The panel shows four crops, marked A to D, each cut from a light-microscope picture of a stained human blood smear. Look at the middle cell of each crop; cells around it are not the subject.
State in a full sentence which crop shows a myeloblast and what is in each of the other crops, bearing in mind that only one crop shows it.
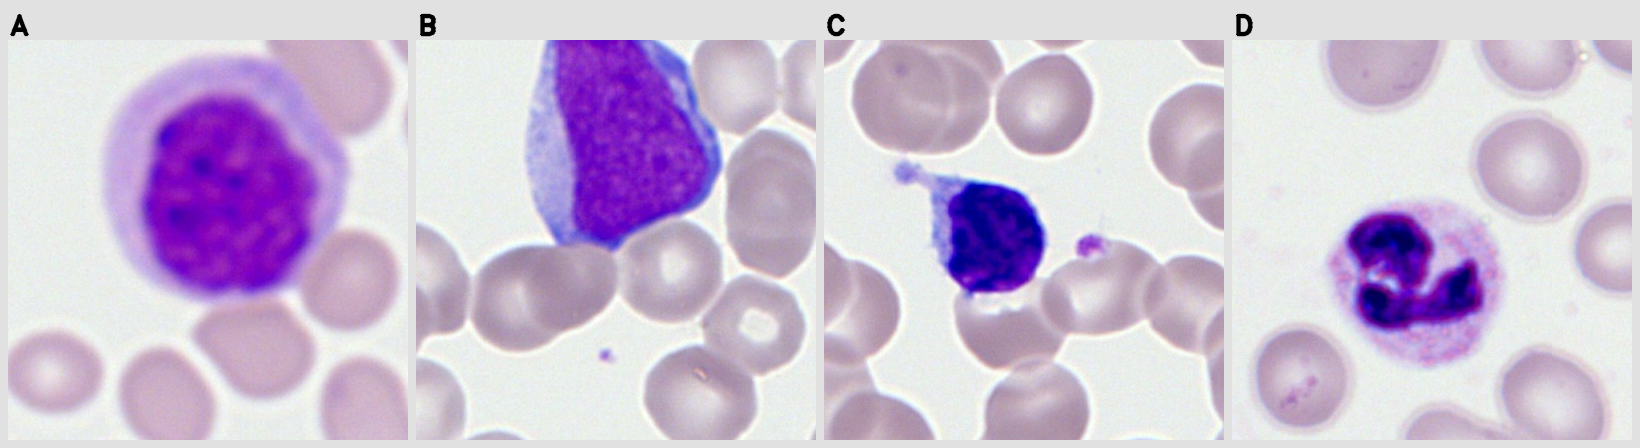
For crop B the cell is a myeloblast, while crop A is a monocyte, crop C is a lymphocyte and crop D is a segmented neutrophil.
